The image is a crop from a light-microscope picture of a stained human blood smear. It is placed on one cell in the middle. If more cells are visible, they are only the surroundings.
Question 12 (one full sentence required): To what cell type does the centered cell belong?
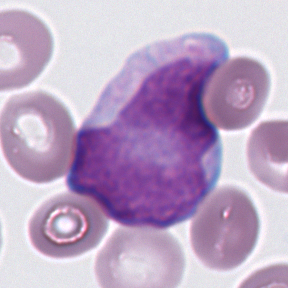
Answering briefly, the cell in the middle is an atypical promyelocyte.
